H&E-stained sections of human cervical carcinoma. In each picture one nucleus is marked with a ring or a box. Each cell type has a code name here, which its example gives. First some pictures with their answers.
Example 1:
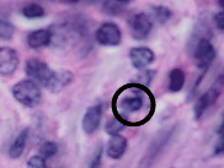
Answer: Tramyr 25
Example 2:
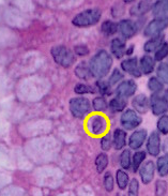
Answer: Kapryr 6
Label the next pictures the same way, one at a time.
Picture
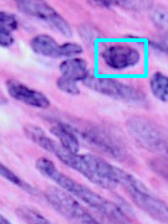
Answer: Tramyr 25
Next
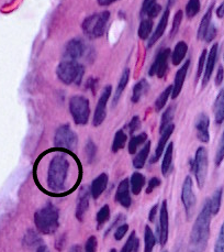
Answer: Kapryr 6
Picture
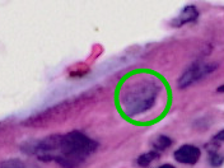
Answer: Kapryr 6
